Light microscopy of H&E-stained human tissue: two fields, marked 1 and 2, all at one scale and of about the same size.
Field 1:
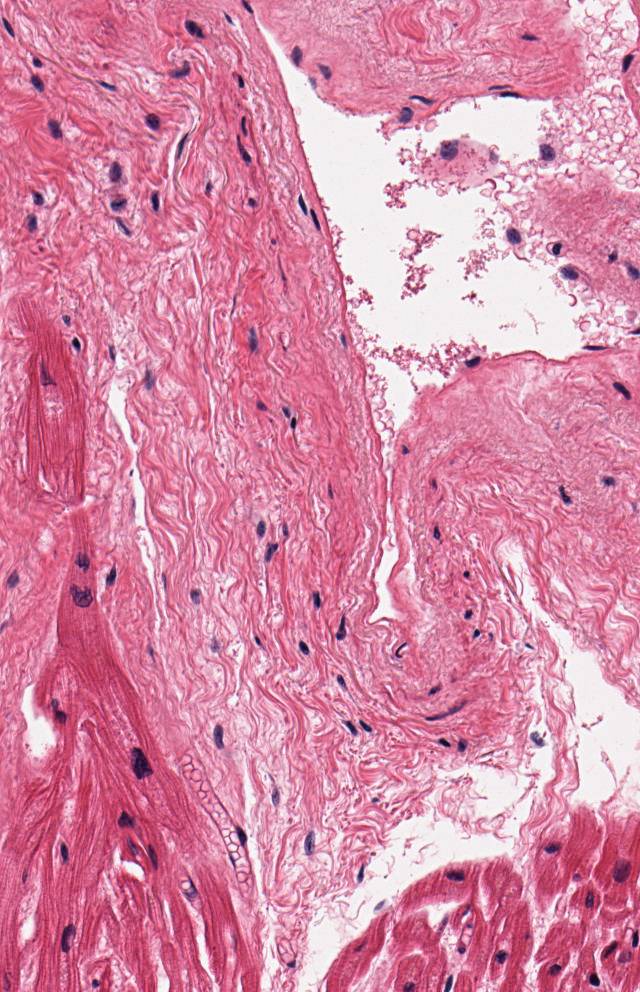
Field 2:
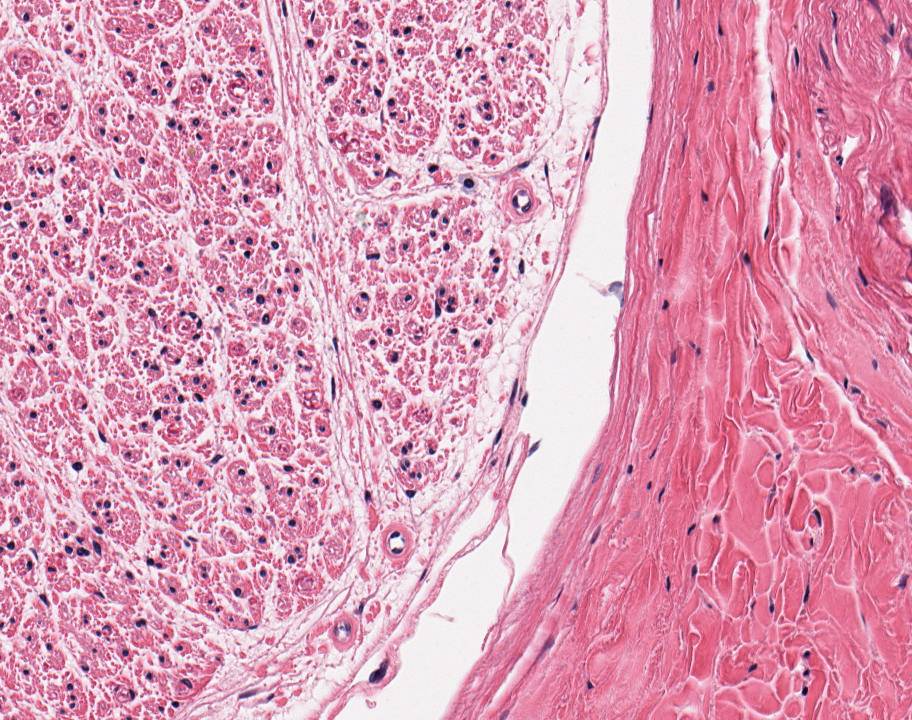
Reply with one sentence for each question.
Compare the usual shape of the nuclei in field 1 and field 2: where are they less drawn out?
On the whole the nuclei of field 2 are rounder than those of field 1.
